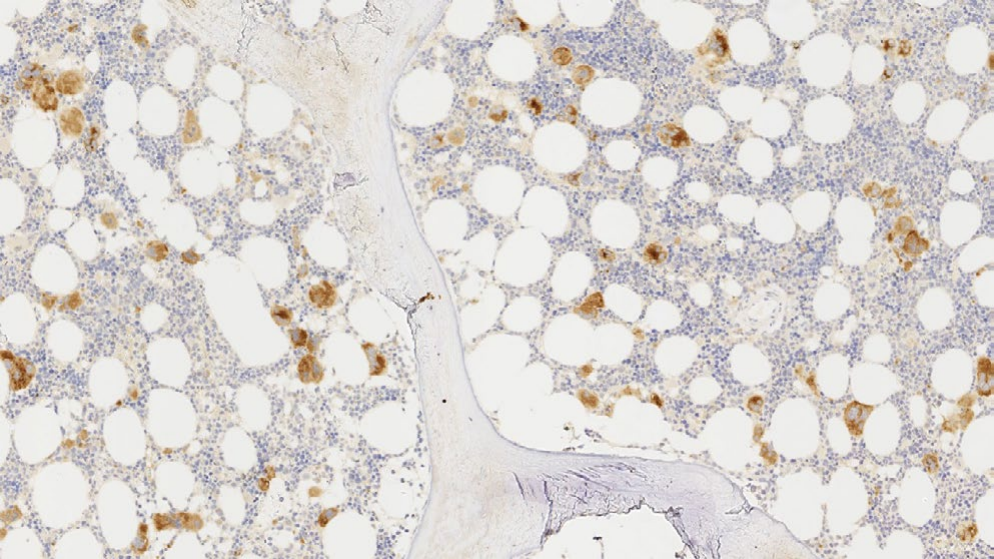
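This is a bone marrow trephine biopsy in which scattered megakaryocytes stand out by their brown cytoplasmic staining. A pale, lamellar bony trabecula runs vertically through the middle and branches along the bottom edge. The intertrabecular spaces on both sides hold many round, empty fat spaces. Between the fat spaces lie sheets of small haematopoietic cells with blue nuclei and little or no brown staining. The megakaryocytes are far larger than the surrounding cells and carry abundant brown cytoplasm. They are spread through the marrow, and some lie together in small loose groups, particularly toward the left.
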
